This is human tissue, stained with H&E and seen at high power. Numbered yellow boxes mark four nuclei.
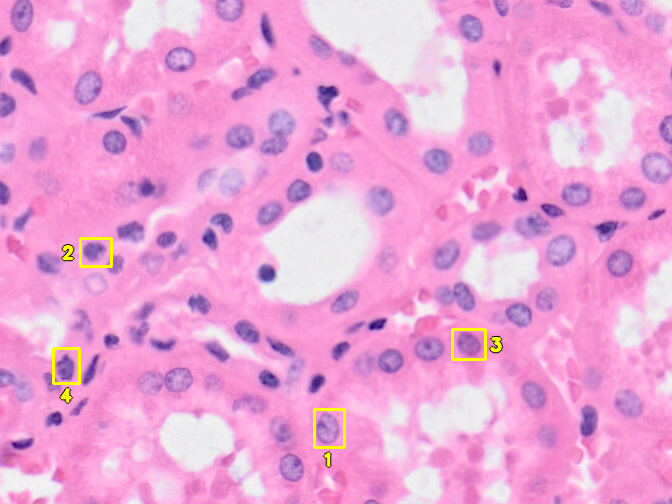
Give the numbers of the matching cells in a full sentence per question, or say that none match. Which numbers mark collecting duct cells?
The cells with the numbers 2 and 4 are collecting duct cells.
